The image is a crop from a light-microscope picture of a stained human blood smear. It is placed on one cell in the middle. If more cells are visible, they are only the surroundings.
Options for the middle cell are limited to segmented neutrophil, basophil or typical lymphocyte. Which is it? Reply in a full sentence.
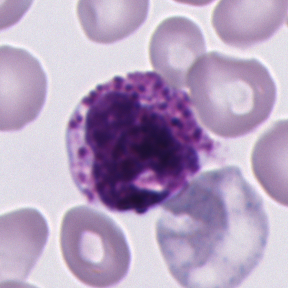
Framed in the middle of the crop is a basophil.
